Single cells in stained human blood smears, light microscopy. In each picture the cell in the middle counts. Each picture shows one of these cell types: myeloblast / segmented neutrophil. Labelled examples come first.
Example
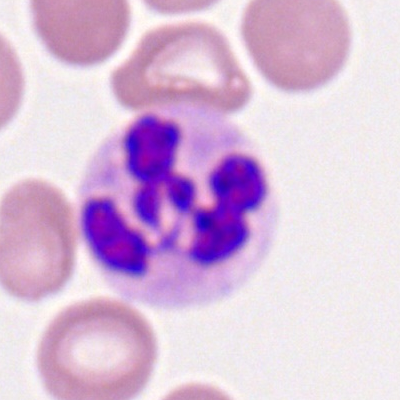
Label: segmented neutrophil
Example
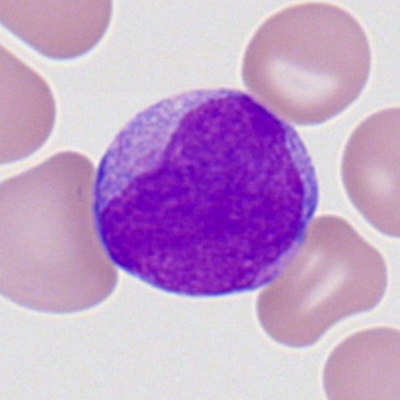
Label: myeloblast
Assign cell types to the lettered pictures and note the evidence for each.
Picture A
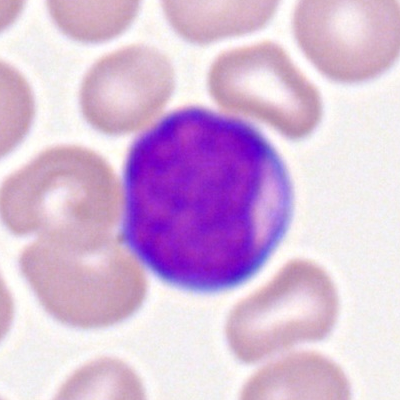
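myeloblast. Evidence: The thin rim of cytoplasm is blue.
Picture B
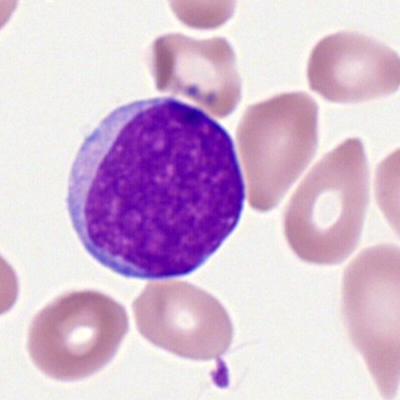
myeloblast. Evidence: The cytoplasm forms a narrow crescent that is widest on the left.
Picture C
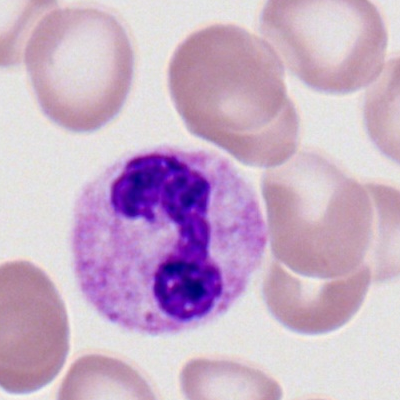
segmented neutrophil. Evidence: The nucleus is a curved band shaped like a question mark.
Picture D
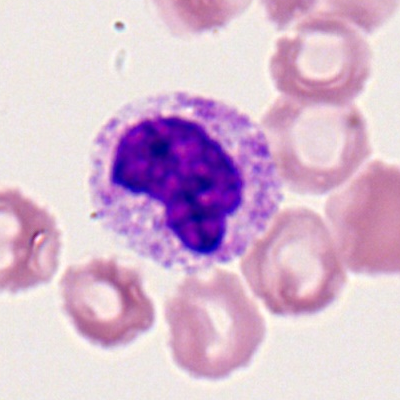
segmented neutrophil. Evidence: The cytoplasm is abundant and pale pinkish-lilac.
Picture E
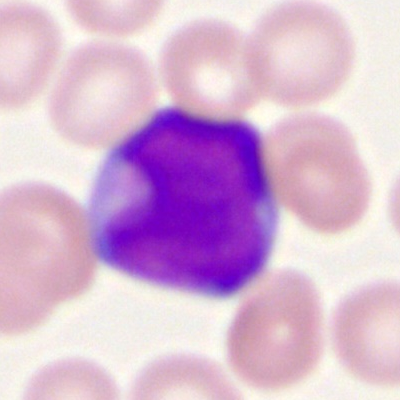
myeloblast. Evidence: The cytoplasm is scant, seen mainly as a narrow pale area at the left.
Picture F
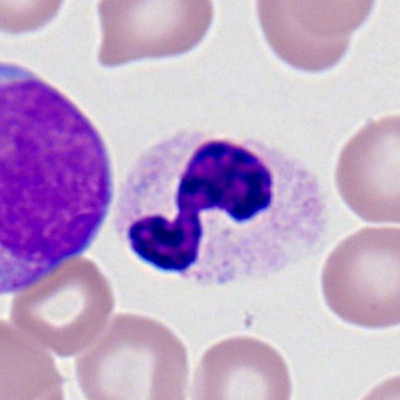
segmented neutrophil. Evidence: The cytoplasm is abundant and pale pinkish-lilac.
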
